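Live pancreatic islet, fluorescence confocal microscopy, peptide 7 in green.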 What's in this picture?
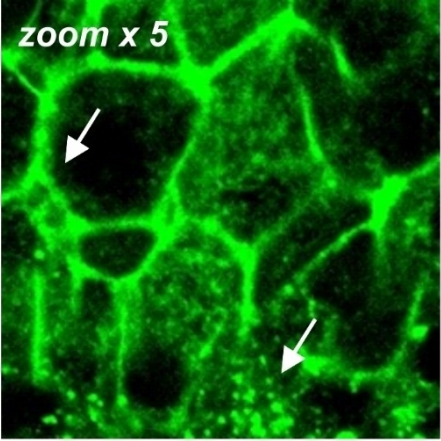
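The cells are polygonal to rounded and abut one another without gaps. Their interiors are mostly dark, with larger unlabelled round areas in several cells. Fine green dots are scattered in the cytoplasm of some cells, most densely toward the lower right. Points where several cell borders meet appear brighter than the borders themselves.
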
